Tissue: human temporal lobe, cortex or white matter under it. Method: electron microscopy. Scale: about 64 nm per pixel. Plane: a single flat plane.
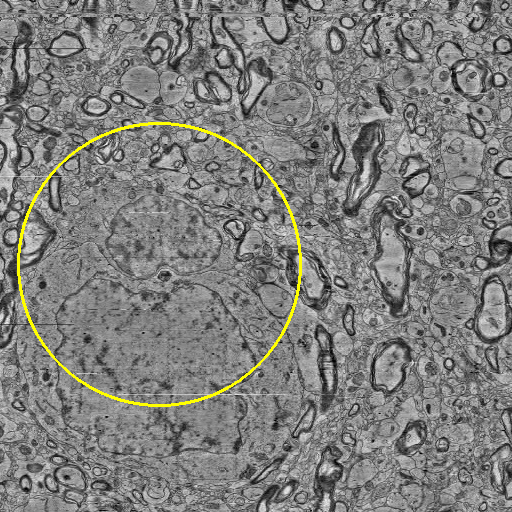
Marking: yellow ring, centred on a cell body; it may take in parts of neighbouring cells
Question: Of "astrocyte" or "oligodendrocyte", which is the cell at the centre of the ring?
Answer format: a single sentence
The ring surrounds the body of an oligodendrocyte.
